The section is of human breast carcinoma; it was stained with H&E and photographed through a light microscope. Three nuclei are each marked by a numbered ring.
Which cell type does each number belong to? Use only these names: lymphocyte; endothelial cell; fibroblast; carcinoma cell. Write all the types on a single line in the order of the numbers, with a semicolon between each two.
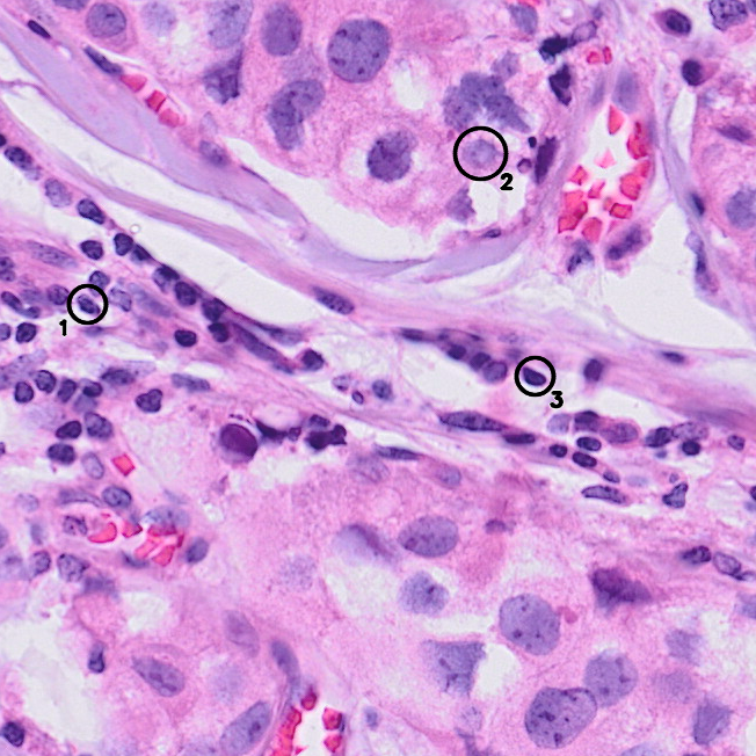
lymphocyte; carcinoma cell; lymphocyte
